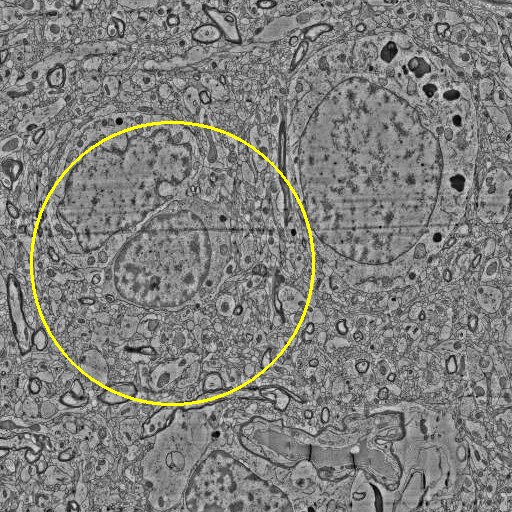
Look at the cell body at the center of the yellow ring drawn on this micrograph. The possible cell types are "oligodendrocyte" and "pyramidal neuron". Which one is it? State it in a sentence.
The cell in the middle of the ring is an oligodendrocyte.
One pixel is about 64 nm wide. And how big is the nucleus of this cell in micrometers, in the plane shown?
About 7 by 5 micrometres in this plane.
